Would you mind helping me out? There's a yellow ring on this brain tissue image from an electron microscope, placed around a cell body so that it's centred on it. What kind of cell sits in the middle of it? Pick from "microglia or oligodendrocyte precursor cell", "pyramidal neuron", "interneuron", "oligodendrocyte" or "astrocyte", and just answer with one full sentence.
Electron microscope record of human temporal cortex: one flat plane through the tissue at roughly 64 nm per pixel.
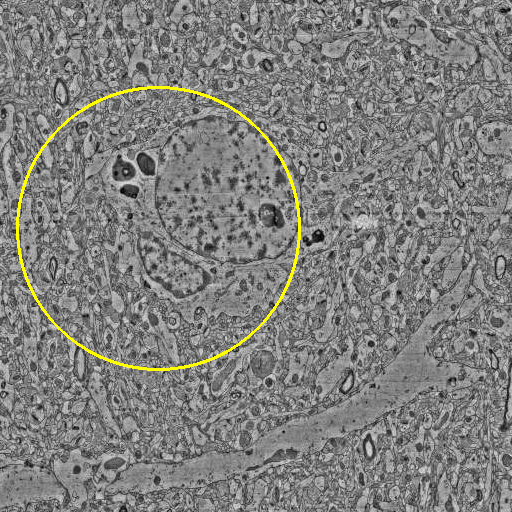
What sits in the middle of that yellow ring is a microglial cell or oligodendrocyte precursor cell, from your choices.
